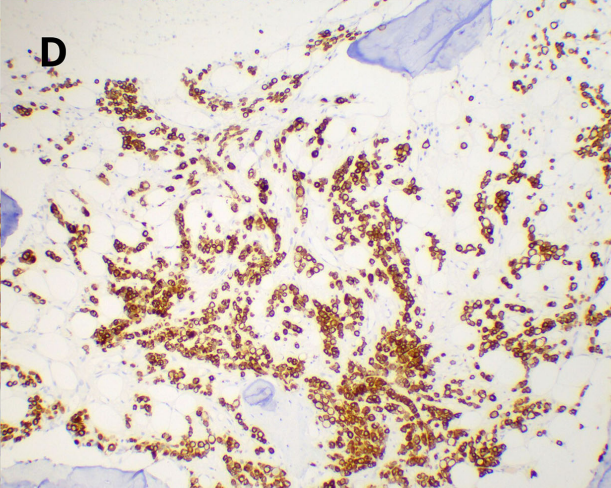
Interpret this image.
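Round cells with brown-rimmed cytoplasm lie in single files, cords and small clusters among large empty fat spaces, while the stroma and the bone fragments at the top and lower left stay pale blue. The stained cells spread diffusely across the marrow rather than forming glands. They are neoplastic cells infiltrating the marrow.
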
